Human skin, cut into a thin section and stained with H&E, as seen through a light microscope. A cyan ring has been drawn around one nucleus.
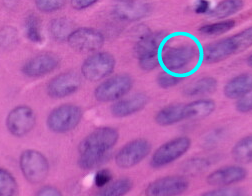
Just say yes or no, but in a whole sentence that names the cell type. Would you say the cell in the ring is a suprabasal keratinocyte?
No, instead of a suprabasal keratinocyte, the cell in the ring is a basal keratinocyte.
